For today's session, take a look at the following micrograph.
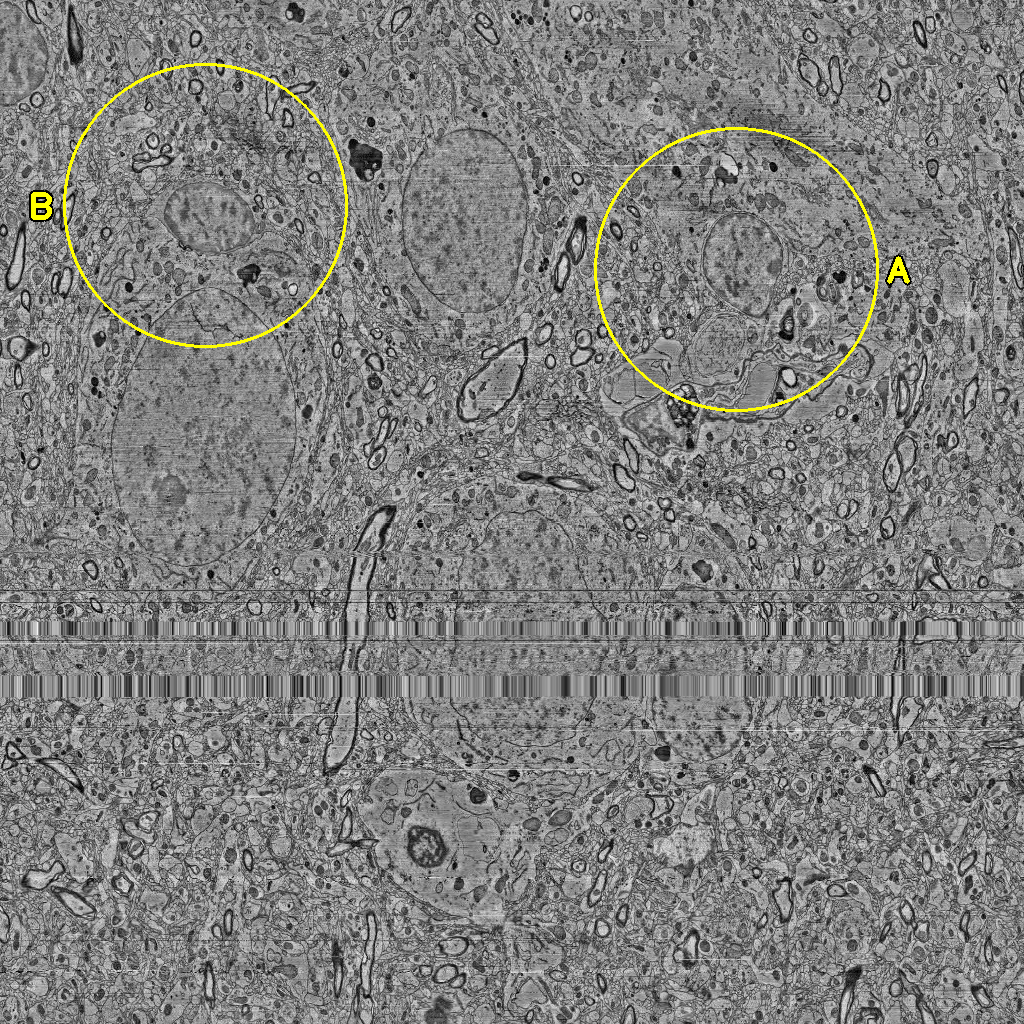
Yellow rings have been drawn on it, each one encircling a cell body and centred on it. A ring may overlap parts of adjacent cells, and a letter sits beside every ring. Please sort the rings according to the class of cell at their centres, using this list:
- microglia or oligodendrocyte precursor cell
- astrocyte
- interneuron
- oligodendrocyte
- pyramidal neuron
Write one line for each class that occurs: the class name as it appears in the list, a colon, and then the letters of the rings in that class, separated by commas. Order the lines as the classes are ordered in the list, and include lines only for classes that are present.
microglia or oligodendrocyte precursor cell: A
oligodendrocyte: B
